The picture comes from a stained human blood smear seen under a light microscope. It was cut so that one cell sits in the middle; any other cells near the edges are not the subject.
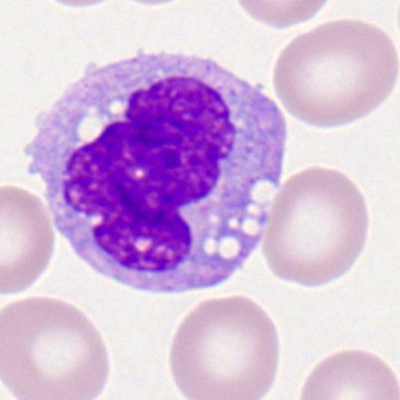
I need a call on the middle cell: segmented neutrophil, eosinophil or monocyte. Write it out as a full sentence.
The identification for the central cell is a monocyte.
